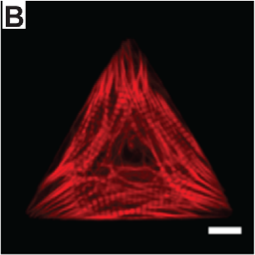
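This is a single muscle cell spread into a triangle, its red-stained fibers showing regular cross-striations along their length. The striated bundles run mainly parallel to the three sides of the triangle, following the longest dimensions of the cell. Bundles are densest near the edges and converge toward the corners. The center of the cell holds fewer fibers and a dark, roughly oval area where the nucleus would lie.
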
